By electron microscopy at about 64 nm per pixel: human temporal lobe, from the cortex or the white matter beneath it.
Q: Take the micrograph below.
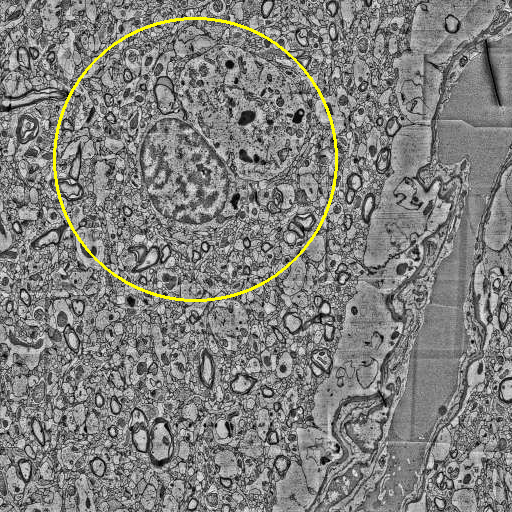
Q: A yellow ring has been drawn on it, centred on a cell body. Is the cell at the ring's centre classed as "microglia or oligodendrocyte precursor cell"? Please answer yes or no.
No, its kind is another one.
